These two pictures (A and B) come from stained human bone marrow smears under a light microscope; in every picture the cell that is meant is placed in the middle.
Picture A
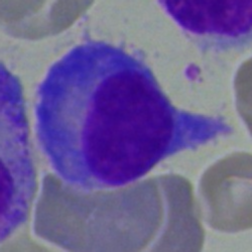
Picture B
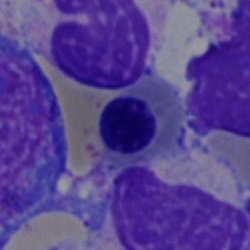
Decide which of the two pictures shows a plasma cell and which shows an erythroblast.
A: plasma cell
B: erythroblast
